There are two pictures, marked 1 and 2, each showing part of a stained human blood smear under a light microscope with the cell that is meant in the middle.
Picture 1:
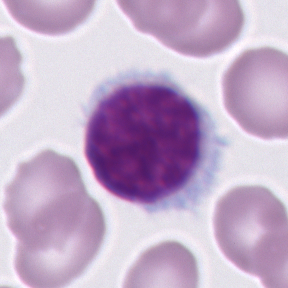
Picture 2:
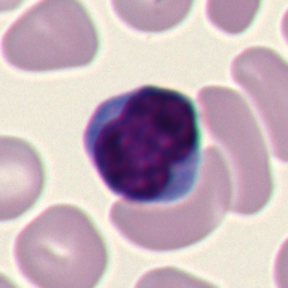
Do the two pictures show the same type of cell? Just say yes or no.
no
